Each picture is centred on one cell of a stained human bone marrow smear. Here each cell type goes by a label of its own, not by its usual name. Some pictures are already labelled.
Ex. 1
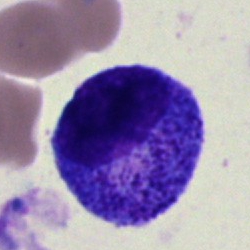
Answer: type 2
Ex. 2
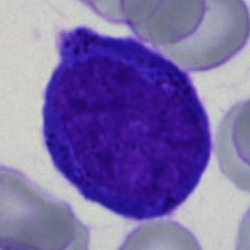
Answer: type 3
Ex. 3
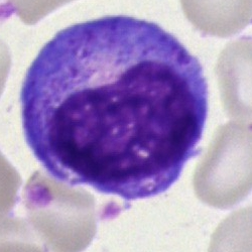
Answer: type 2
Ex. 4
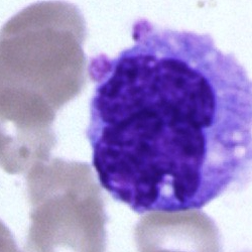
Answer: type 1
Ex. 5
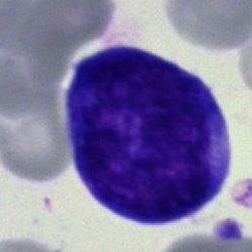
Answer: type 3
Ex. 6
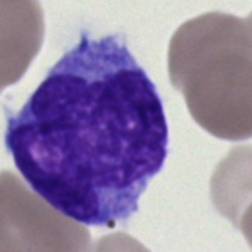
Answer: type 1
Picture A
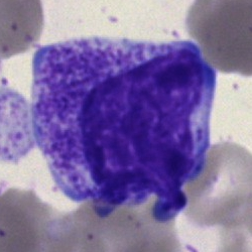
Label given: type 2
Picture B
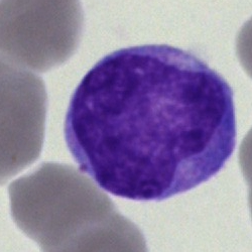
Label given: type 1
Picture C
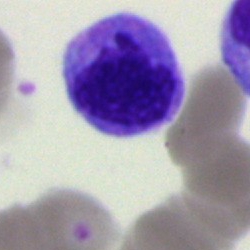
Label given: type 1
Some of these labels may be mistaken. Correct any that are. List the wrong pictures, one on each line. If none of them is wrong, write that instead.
None of the labels needs changing.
